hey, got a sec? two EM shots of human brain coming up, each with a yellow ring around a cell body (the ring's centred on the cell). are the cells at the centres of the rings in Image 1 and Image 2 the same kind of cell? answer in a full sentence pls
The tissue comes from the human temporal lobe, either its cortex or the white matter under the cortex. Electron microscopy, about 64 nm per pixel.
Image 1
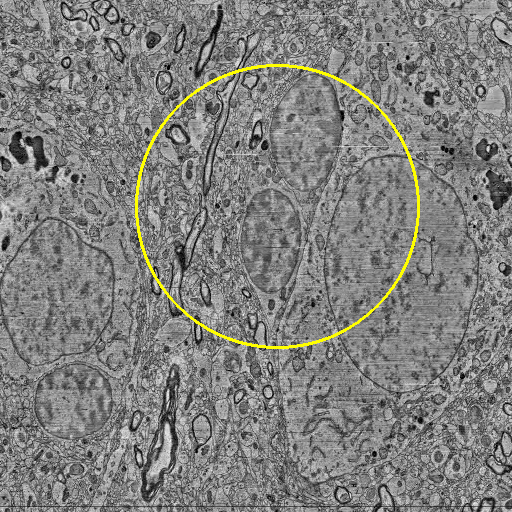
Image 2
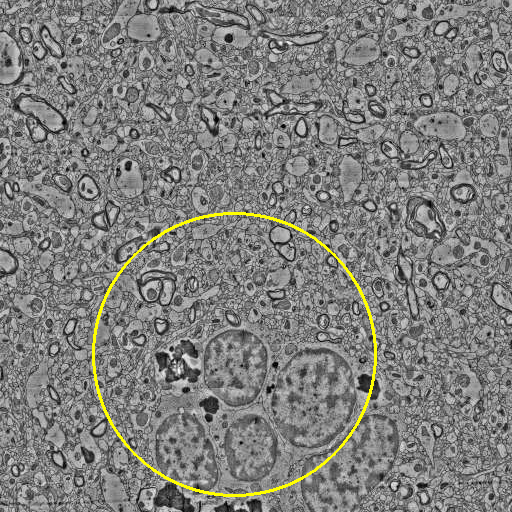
Yes, both are the same kind of cell.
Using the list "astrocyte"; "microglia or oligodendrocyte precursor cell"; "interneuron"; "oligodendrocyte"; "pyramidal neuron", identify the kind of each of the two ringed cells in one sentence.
Both pictures show an oligodendrocyte at the centre of the ring.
